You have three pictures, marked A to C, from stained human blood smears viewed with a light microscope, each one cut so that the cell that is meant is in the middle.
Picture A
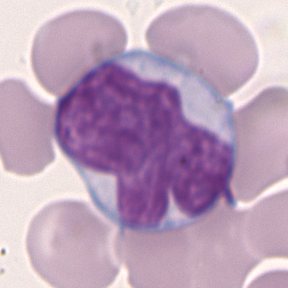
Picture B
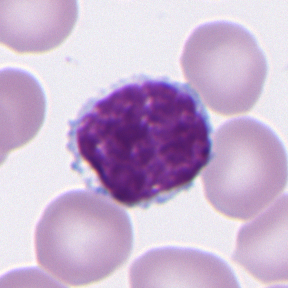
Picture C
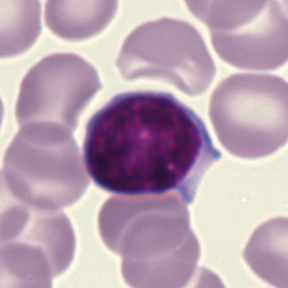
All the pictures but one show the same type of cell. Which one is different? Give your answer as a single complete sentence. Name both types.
Picture A differs, because its cell is a myeloblast and the rest are typical lymphocytes.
